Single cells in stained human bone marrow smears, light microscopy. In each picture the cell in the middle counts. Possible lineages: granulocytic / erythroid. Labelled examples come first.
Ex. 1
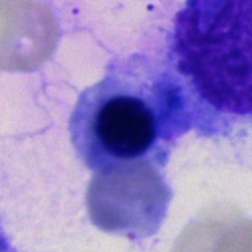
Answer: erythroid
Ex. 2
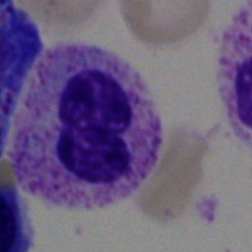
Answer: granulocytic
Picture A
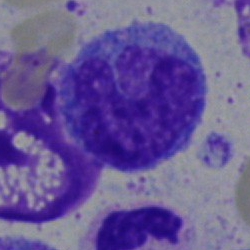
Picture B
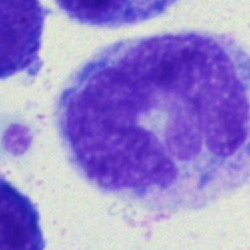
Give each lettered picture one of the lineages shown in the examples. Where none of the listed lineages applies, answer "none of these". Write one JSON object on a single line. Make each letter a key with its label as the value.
{"A": "none of these", "B": "none of these"}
